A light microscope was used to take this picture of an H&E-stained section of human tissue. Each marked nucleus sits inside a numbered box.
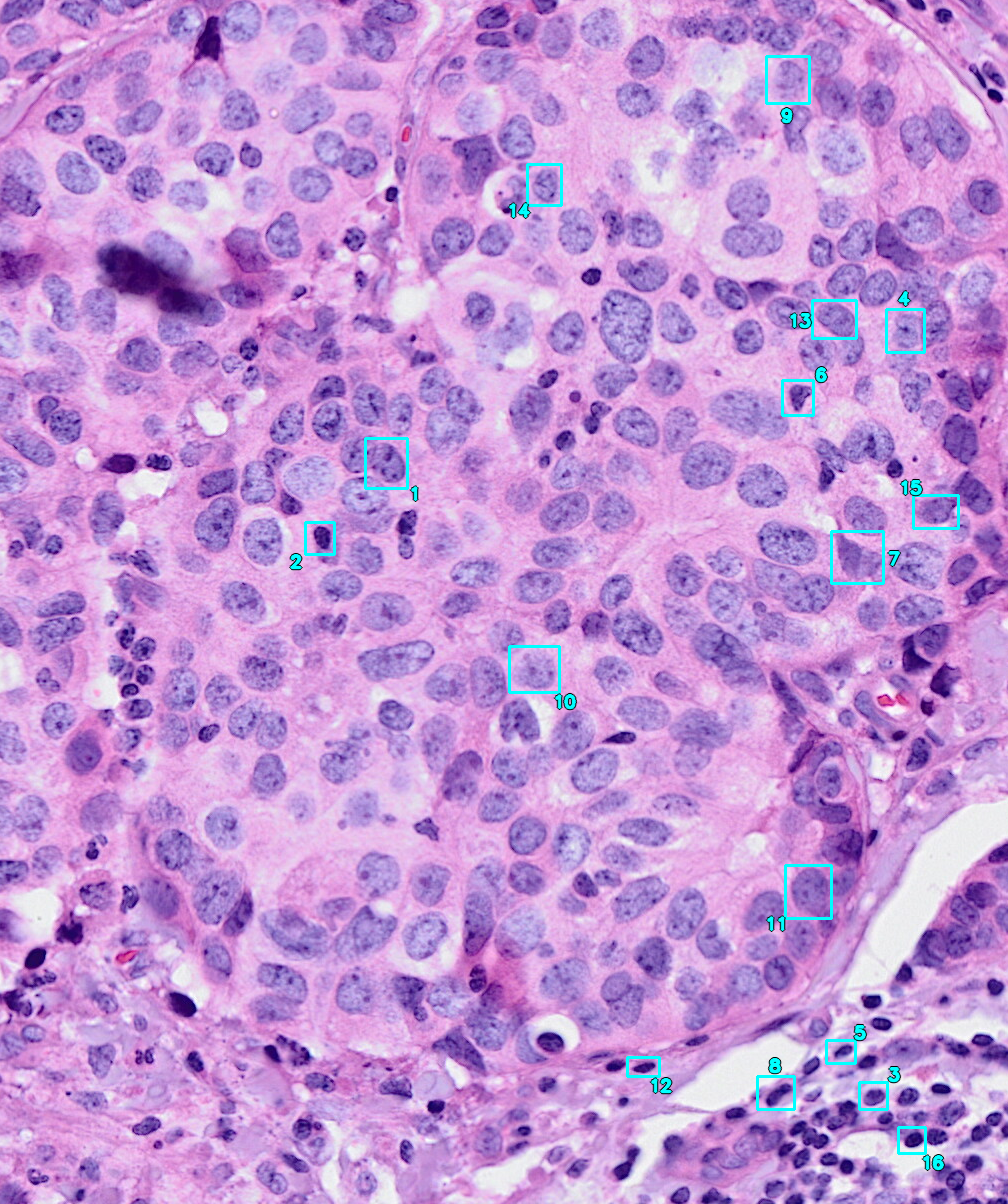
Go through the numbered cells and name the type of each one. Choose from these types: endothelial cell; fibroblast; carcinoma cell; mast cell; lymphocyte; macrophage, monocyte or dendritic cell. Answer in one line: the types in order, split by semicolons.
carcinoma cell; lymphocyte; lymphocyte; carcinoma cell; lymphocyte; lymphocyte; carcinoma cell; lymphocyte; carcinoma cell; carcinoma cell; carcinoma cell; lymphocyte; carcinoma cell; carcinoma cell; carcinoma cell; lymphocyte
